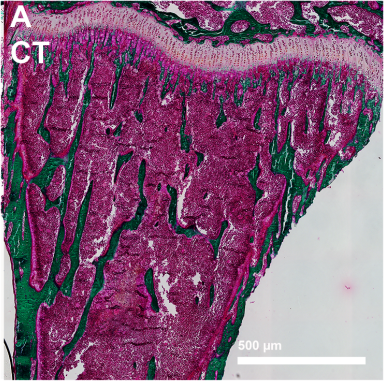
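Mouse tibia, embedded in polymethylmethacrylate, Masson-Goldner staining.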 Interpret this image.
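A pale greyish-pink band of cartilage with regular columns of cells curves across the top. Below it, slender green-stained bony trabeculae run downward into the shaft. The spaces between them are packed with densely cellular, reddish-purple marrow. On both sides, thicker green bands form the outer bone wall, and these converge as the section narrows toward the bottom. Small white clefts in the marrow look like sectioning artefacts.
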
